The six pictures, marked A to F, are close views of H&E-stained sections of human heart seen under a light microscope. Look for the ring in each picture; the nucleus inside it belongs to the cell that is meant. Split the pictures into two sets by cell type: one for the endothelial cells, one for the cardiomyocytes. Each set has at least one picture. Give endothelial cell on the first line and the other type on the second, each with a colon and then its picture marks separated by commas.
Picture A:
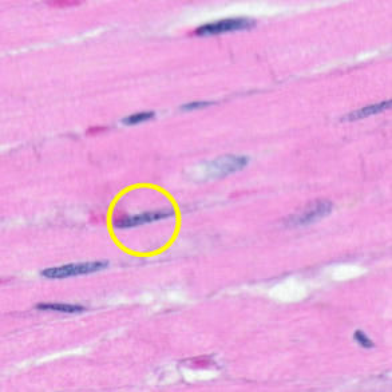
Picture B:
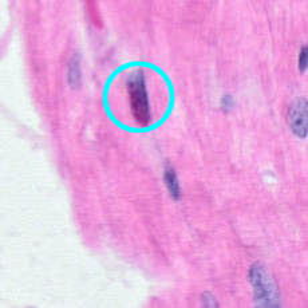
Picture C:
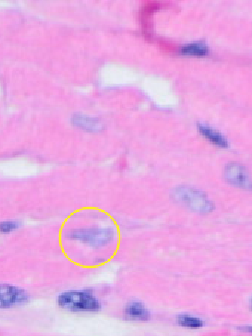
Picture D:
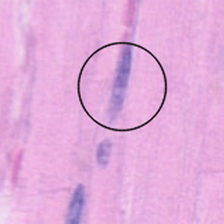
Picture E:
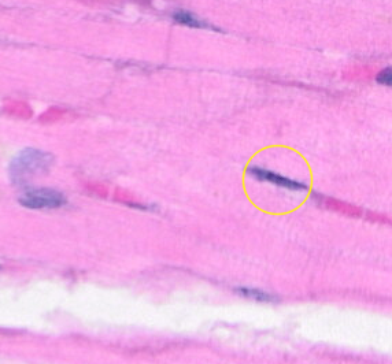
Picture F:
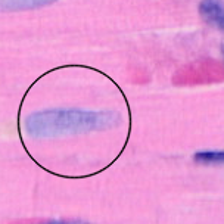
endothelial cell: A, B, D, E
cardiomyocyte: C, F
